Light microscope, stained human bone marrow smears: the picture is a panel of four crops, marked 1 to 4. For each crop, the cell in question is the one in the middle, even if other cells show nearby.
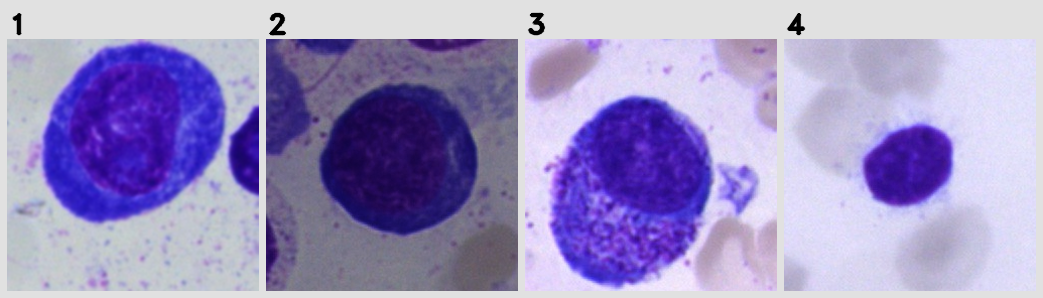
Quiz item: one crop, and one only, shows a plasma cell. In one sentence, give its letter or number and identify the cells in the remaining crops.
Crop 1 shows a plasma cell, while crop 2 is a proerythroblast, crop 3 is a promyelocyte and crop 4 is a lymphocyte.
